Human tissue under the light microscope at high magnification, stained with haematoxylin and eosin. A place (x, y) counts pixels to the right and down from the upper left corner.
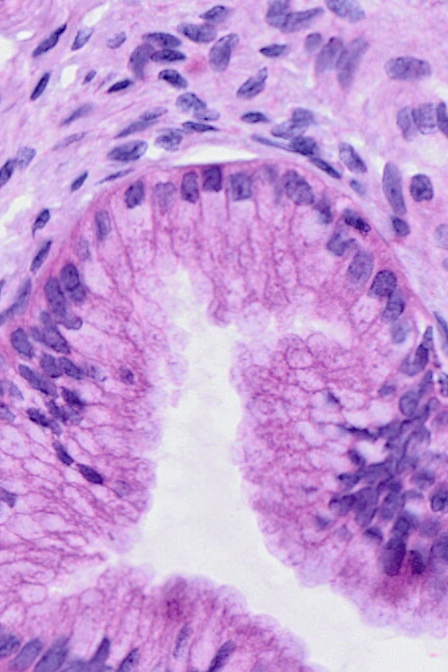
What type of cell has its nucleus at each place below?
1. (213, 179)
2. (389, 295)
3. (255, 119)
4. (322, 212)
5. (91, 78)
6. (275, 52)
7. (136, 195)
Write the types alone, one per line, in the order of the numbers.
secretory epithelial cell
secretory epithelial cell
fibroblast
secretory epithelial cell
fibroblast
fibroblast
secretory epithelial cell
